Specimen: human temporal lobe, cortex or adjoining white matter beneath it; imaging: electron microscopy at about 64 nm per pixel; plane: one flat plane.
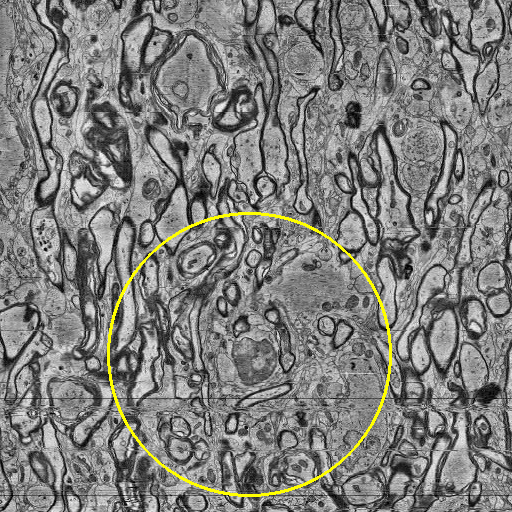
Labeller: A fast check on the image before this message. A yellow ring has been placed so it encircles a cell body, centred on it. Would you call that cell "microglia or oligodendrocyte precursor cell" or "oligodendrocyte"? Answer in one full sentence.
In this image, a microglial cell or oligodendrocyte precursor cell is the cell on which the yellow ring is centred.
